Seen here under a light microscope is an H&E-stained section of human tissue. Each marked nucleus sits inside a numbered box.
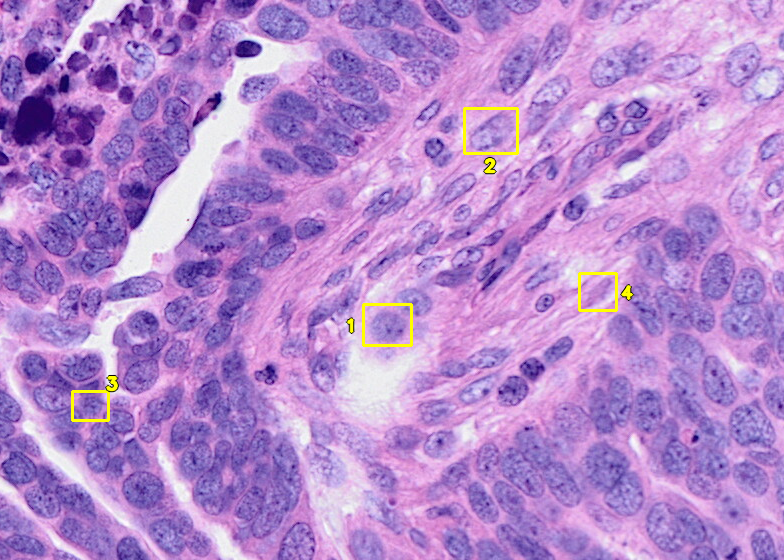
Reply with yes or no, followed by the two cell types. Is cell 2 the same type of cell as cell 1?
No, cell 2 is a fibroblast; cell 1, by contrast, is a carcinoma cell.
